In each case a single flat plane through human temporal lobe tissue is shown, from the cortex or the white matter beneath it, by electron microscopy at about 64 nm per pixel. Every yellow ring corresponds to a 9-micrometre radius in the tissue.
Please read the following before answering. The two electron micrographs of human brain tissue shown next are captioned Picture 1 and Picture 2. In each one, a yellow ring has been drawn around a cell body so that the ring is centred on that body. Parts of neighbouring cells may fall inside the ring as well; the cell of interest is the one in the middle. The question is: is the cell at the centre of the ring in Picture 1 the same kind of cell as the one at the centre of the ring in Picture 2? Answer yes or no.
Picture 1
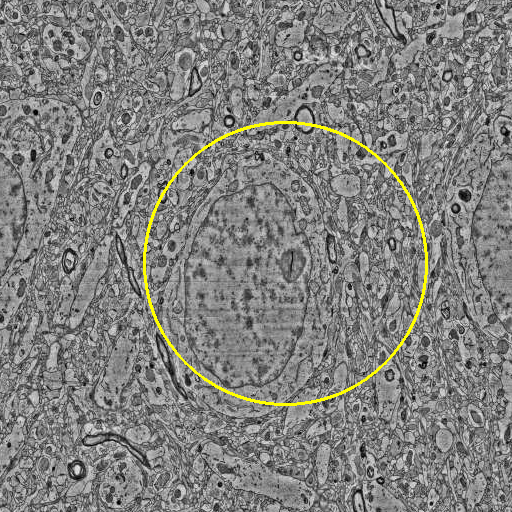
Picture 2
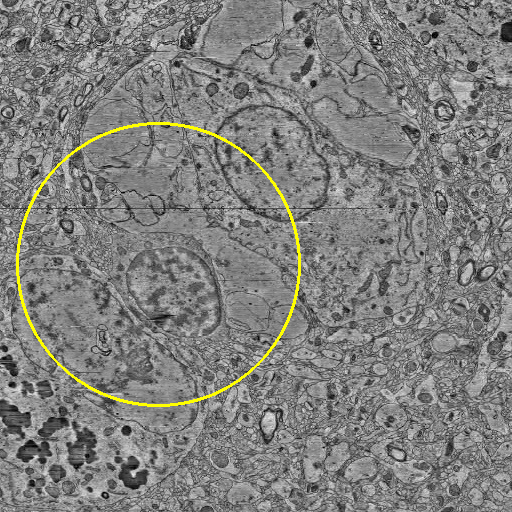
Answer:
no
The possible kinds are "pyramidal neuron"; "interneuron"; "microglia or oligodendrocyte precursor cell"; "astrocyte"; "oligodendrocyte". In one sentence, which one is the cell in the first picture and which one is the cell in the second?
The cell ringed in the second picture is an oligodendrocyte, whereas the one ringed in the first is an interneuron.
